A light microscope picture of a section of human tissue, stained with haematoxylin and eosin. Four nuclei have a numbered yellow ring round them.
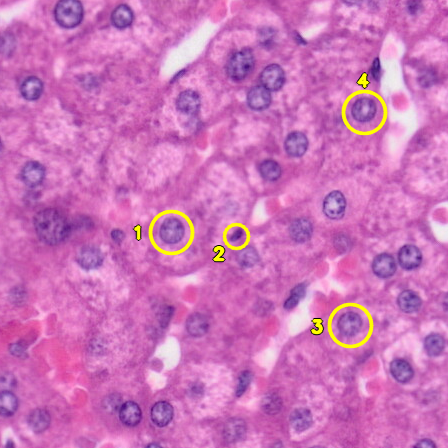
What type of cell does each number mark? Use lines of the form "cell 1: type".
cell 1: hepatocyte
cell 2: fibroblast or stellate cell
cell 3: hepatocyte
cell 4: hepatocyte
